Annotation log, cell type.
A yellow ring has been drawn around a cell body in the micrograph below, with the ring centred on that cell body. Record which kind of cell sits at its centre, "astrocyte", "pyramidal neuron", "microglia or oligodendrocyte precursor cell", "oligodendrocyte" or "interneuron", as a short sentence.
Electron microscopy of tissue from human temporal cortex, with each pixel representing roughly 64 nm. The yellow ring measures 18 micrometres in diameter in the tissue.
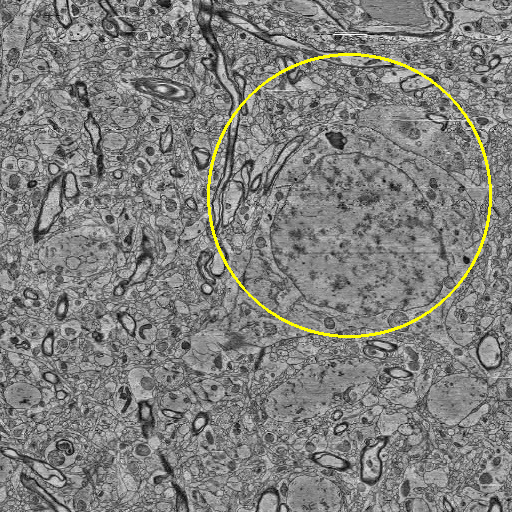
The cell at the centre of this ring is a pyramidal neuron.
